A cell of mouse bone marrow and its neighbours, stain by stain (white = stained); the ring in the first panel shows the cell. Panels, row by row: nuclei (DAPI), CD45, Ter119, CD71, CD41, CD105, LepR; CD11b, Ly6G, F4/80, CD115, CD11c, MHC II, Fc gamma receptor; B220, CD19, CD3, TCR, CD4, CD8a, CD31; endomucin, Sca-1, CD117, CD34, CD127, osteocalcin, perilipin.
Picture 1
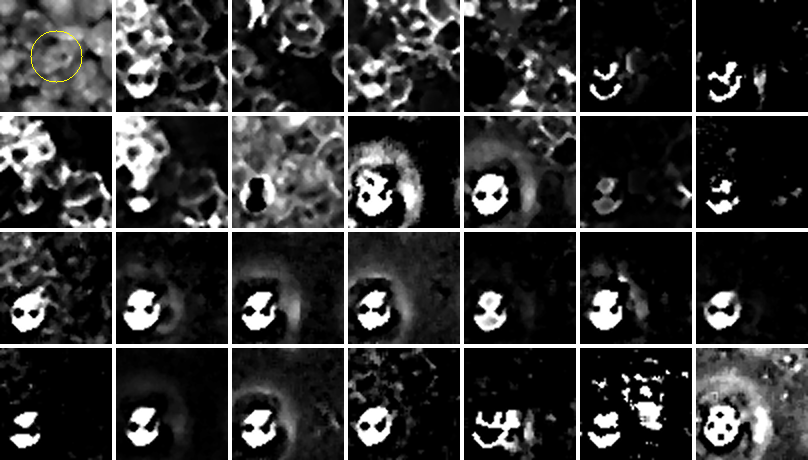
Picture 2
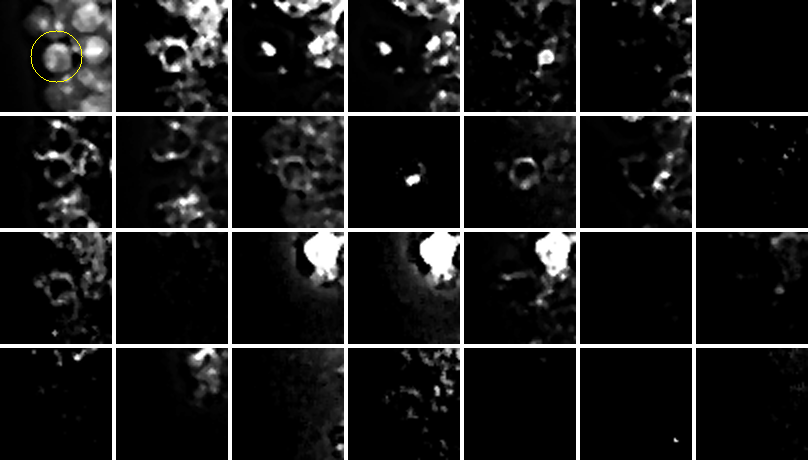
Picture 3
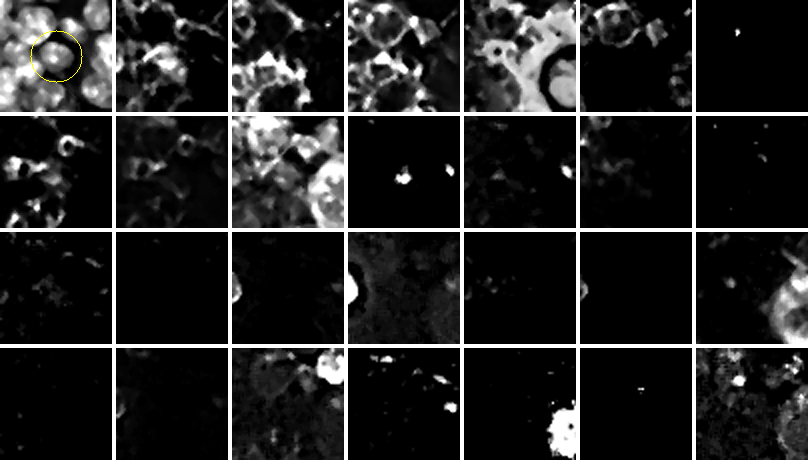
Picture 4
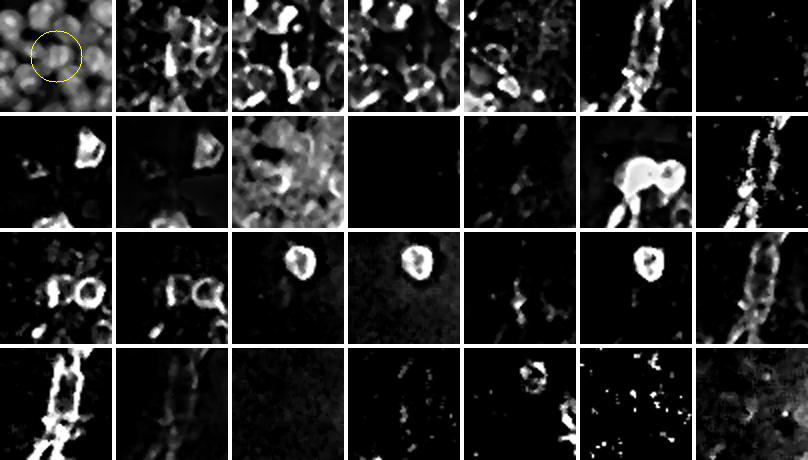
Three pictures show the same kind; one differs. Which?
Picture 4: a capillary endothelial cell, while the others are monocytes.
